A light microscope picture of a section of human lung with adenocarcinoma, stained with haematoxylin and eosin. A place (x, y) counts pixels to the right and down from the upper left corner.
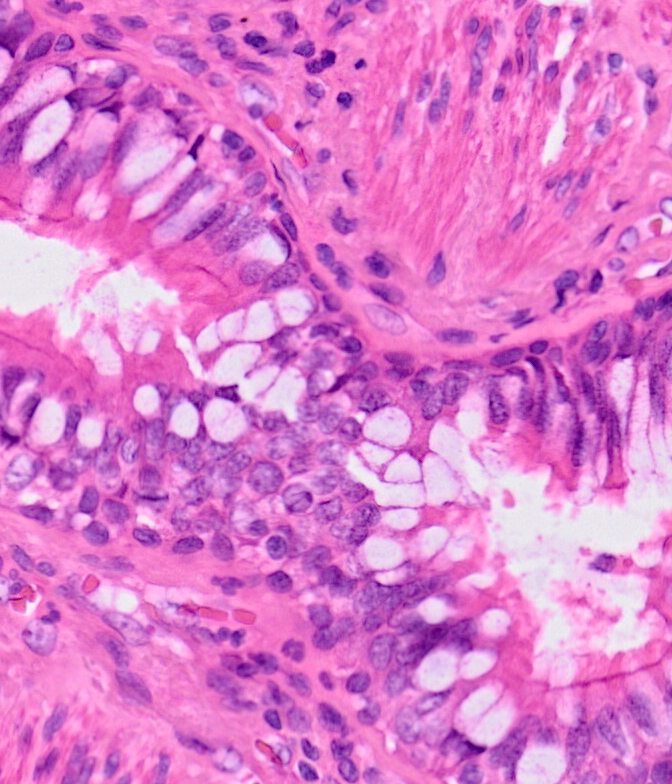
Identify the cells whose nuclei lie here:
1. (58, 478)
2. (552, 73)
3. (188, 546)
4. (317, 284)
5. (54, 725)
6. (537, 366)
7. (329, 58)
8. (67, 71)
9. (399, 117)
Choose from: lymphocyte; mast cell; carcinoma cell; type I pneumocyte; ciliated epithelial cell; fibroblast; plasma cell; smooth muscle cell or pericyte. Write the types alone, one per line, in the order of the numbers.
ciliated epithelial cell
smooth muscle cell or pericyte
ciliated epithelial cell
ciliated epithelial cell
smooth muscle cell or pericyte
ciliated epithelial cell
lymphocyte
ciliated epithelial cell
smooth muscle cell or pericyte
